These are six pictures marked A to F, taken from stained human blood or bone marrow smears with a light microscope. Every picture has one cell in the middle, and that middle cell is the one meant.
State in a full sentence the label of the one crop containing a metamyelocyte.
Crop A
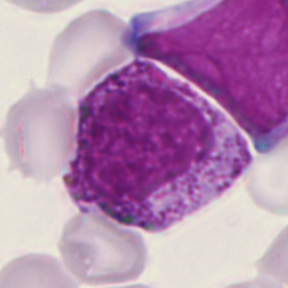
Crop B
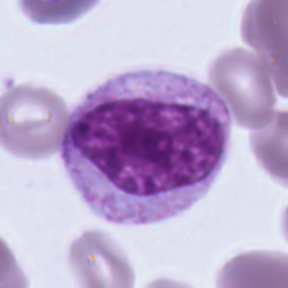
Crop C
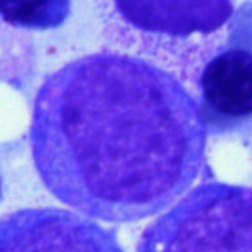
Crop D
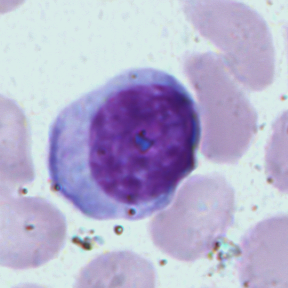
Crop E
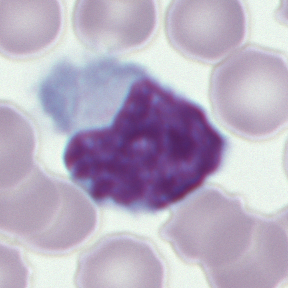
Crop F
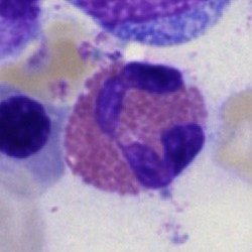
Crop B shows a metamyelocyte, and no other crop does.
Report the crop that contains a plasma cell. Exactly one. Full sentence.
The one that shows a plasma cell is crop D.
